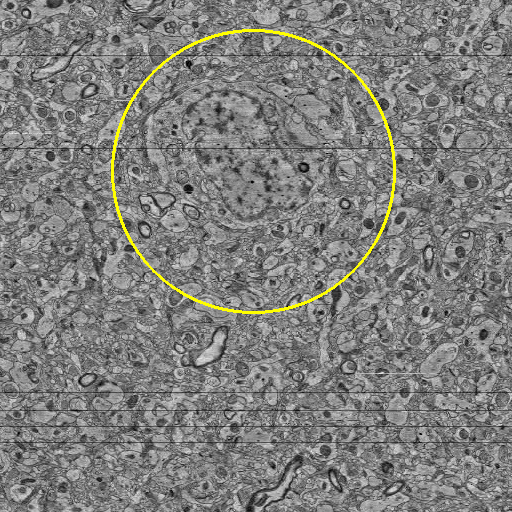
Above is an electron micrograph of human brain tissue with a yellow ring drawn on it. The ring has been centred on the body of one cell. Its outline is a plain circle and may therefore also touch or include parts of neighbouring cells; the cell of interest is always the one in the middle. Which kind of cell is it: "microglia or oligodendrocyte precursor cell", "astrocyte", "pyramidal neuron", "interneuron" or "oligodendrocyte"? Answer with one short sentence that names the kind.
The ring's central cell body is that of an interneuron.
